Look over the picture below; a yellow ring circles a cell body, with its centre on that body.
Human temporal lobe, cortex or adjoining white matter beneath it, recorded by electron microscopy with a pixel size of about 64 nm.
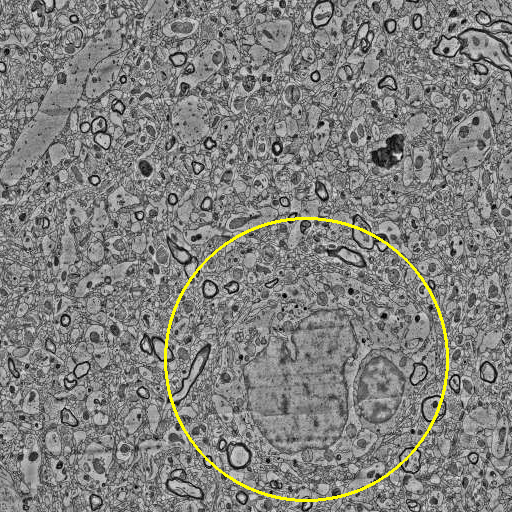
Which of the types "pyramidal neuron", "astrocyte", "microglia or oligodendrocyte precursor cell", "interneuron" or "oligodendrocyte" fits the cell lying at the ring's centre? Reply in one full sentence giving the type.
The picture shows an interneuron at the centre of the yellow ring.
